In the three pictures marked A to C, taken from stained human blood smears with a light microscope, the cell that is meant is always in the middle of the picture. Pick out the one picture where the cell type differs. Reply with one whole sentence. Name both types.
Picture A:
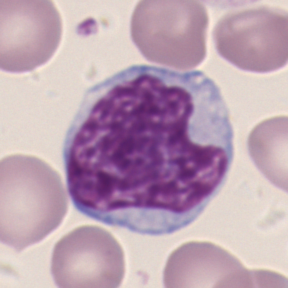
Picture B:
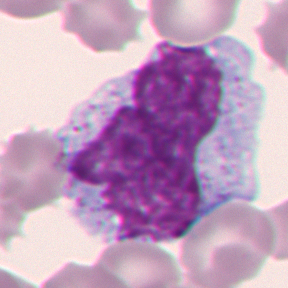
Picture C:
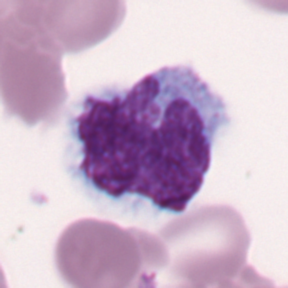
Picture A differs, because its cell is a myeloblast and the rest are monocytes.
